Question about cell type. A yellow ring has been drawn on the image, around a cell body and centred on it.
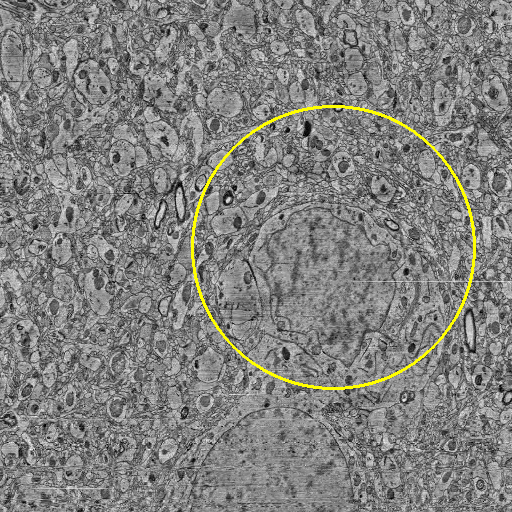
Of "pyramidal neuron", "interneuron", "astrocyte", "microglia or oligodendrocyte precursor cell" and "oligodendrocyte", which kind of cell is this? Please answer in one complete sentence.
At the centre of the ring lies an interneuron.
